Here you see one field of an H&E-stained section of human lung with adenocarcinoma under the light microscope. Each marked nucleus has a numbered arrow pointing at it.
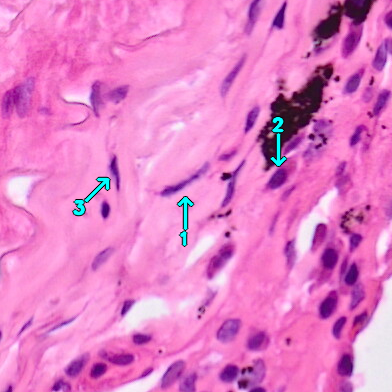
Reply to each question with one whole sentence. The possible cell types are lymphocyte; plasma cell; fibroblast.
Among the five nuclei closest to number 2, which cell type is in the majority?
Of the five nuclei nearest to number 2, most belong to fibroblasts.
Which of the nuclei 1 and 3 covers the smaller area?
Number 3 is smaller, since number 1 takes up about 1.5 times as much area.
